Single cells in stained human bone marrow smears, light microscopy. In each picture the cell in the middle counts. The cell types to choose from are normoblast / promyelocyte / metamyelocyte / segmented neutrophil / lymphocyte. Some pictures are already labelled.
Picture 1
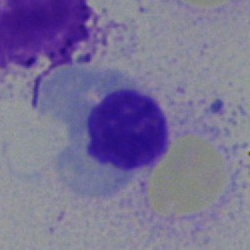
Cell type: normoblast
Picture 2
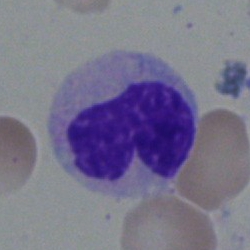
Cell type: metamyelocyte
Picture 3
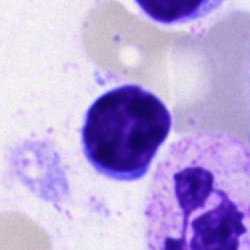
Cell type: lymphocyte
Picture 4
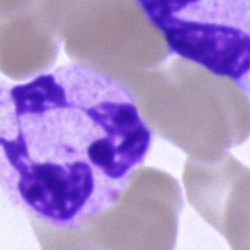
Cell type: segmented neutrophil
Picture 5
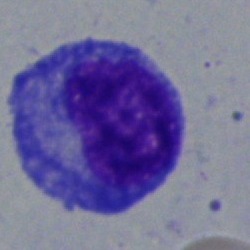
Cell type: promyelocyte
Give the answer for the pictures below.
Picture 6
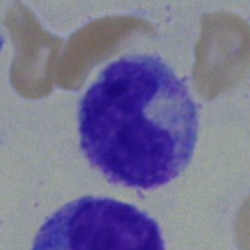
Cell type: metamyelocyte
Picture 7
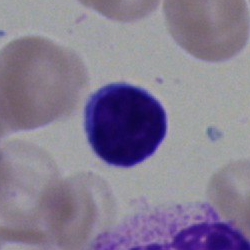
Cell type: lymphocyte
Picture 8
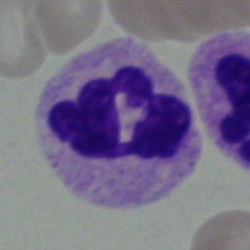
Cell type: segmented neutrophil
